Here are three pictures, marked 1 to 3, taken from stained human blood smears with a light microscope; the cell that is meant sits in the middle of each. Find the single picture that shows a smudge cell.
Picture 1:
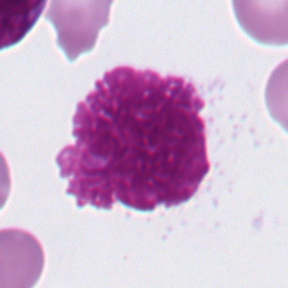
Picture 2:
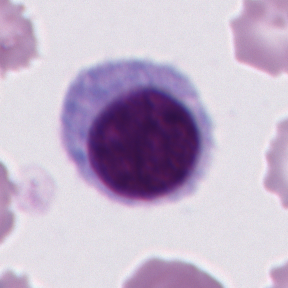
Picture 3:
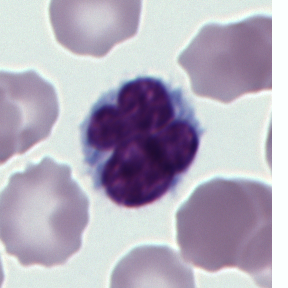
1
